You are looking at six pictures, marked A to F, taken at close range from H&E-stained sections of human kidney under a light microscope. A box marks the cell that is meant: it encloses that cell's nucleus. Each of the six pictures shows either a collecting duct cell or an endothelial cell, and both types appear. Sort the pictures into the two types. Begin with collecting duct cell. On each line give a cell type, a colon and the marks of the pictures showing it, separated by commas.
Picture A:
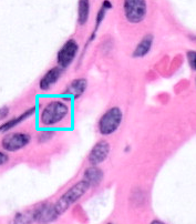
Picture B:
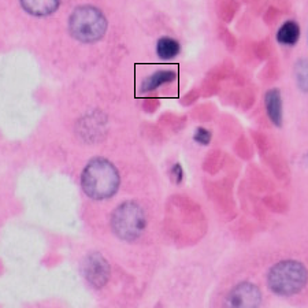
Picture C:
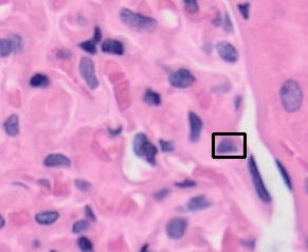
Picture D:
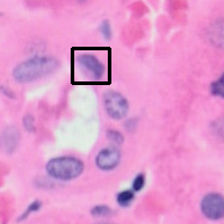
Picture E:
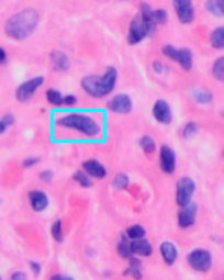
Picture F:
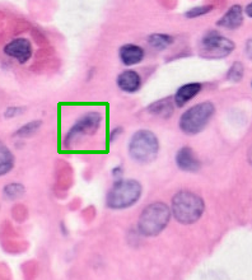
collecting duct cell: A, D
endothelial cell: B, C, E, F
